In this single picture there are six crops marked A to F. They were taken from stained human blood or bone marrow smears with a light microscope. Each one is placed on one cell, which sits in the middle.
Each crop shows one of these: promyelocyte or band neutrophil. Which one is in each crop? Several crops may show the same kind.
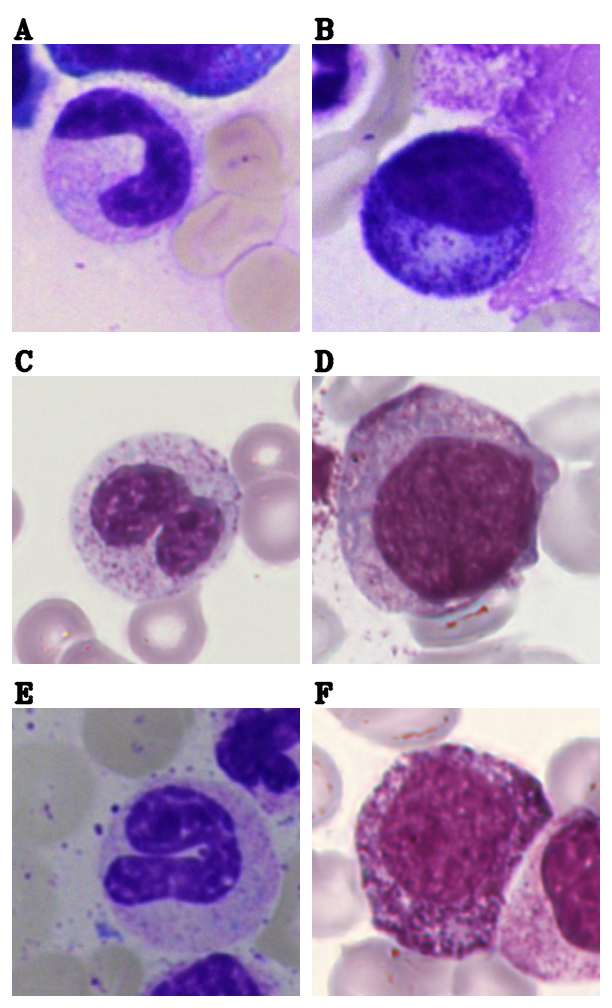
A: band neutrophil
B: promyelocyte
C: band neutrophil
D: promyelocyte
E: band neutrophil
F: promyelocyte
